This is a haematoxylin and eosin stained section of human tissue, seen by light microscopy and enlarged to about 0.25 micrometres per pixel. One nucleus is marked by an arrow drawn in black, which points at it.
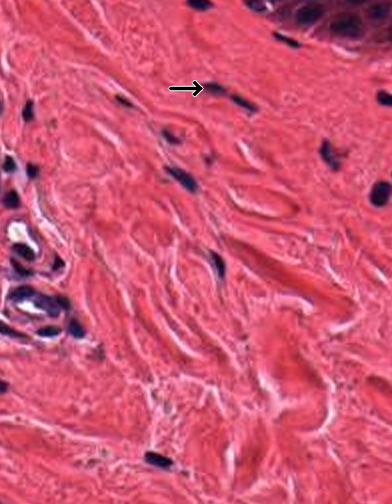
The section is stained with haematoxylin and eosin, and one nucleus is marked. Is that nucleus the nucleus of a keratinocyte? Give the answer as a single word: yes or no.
no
